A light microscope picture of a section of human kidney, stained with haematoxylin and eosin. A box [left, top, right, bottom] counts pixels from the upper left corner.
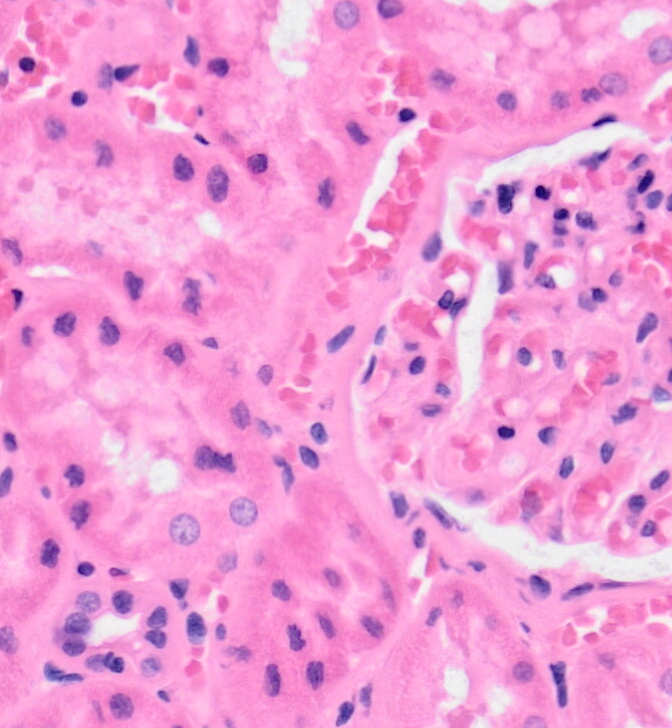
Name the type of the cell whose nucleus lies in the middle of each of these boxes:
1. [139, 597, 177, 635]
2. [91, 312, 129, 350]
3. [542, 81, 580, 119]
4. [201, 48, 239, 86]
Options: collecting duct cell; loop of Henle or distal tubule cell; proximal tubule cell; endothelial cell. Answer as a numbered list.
1. collecting duct cell
2. proximal tubule cell
3. proximal tubule cell
4. proximal tubule cell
